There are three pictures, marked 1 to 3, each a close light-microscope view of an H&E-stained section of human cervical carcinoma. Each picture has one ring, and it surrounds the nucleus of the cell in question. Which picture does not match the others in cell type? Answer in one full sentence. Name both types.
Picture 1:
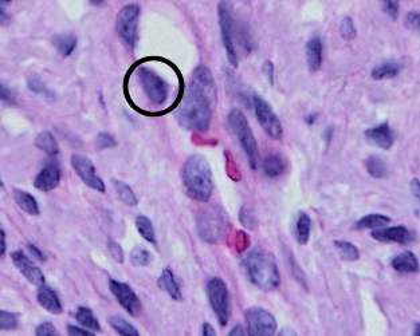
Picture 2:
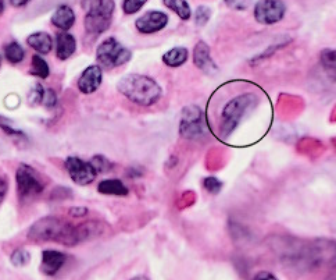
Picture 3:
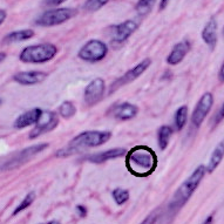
The others show endothelial cells, but picture 3 shows a smooth muscle cell.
